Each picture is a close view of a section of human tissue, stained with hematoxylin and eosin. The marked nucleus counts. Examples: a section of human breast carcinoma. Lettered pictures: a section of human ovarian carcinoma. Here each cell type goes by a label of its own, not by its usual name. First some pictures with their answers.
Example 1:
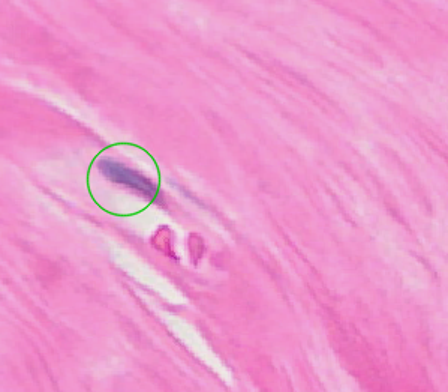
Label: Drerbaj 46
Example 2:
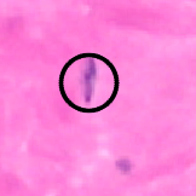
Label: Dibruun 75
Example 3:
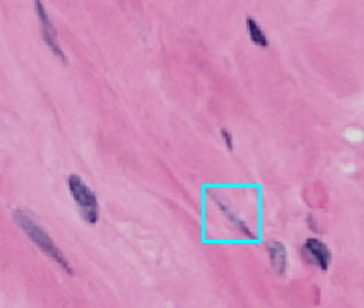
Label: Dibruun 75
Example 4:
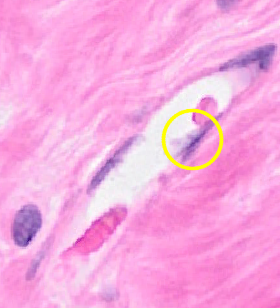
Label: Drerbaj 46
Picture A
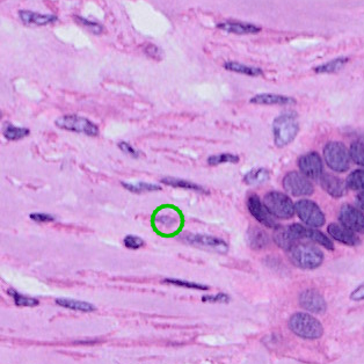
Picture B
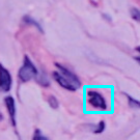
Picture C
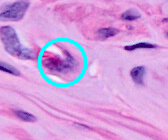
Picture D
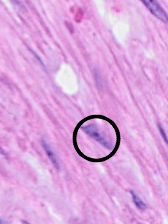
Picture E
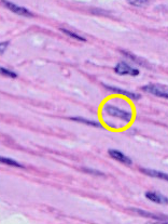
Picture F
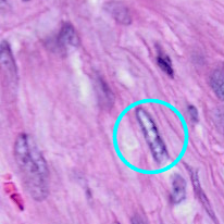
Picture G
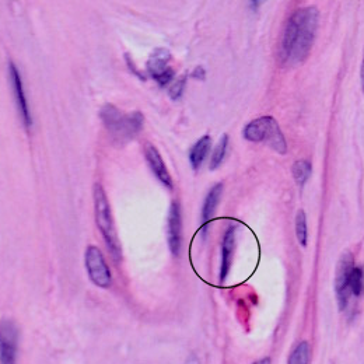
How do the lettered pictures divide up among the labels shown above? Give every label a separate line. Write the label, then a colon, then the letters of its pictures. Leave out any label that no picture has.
Drerbaj 46: B, C, G
Dibruun 75: A, D, E, F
